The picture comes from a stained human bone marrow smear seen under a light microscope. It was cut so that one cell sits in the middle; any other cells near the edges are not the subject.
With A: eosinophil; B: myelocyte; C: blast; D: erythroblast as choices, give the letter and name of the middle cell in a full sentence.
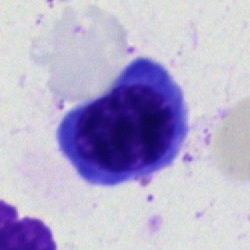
The cell centered in the crop is an erythroblast, making option D the correct pick.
